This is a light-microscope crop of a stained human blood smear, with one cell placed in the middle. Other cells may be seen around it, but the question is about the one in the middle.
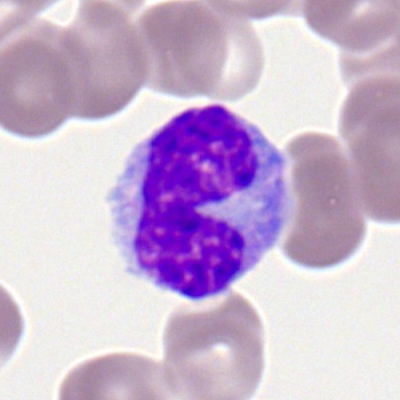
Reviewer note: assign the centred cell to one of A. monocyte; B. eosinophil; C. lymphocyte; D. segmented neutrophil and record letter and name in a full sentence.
Option A is right in identifying the central cell as a monocyte.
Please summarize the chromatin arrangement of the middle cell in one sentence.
This nucleus has coarsely clumped chromatin.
